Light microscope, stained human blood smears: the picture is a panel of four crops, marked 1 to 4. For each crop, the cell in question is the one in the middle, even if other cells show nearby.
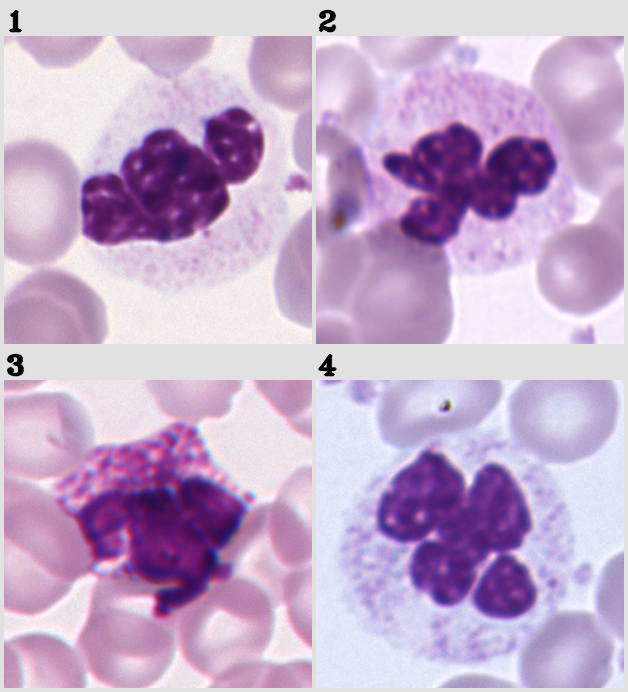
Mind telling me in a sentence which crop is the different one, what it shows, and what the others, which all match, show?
Crop 3 is the only crop with a basophil, the others all showing neutrophils.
